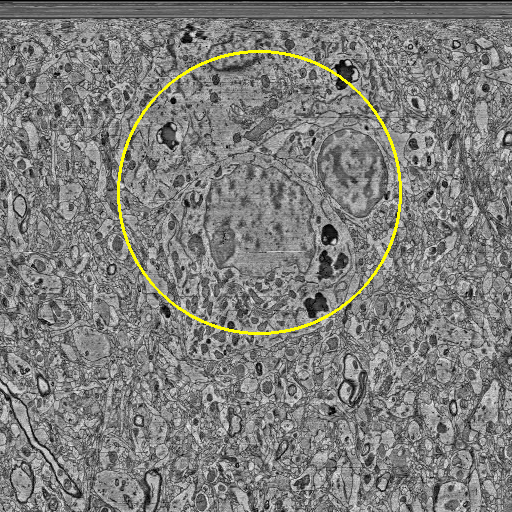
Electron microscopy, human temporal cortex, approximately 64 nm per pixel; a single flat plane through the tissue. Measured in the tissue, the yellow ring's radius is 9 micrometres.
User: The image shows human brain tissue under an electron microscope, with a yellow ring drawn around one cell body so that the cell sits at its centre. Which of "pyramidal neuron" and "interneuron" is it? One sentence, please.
At the centre of the ring sits an interneuron.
